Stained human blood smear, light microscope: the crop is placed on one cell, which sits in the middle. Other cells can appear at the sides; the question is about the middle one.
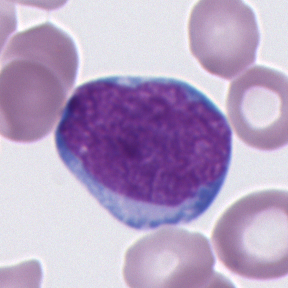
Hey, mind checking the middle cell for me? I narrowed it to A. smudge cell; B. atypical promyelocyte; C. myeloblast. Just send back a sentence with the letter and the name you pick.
The cell shown centrally is a myeloblast; option C is the correct option.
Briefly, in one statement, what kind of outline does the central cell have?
No surface projections are present; the cell outline is smooth.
